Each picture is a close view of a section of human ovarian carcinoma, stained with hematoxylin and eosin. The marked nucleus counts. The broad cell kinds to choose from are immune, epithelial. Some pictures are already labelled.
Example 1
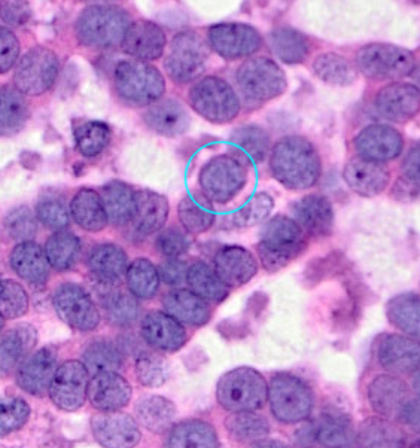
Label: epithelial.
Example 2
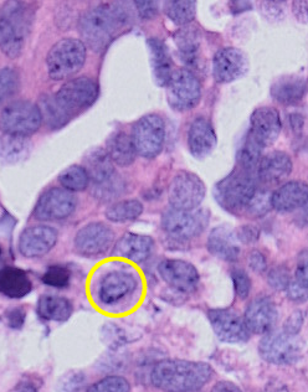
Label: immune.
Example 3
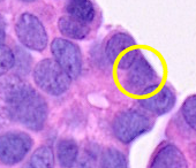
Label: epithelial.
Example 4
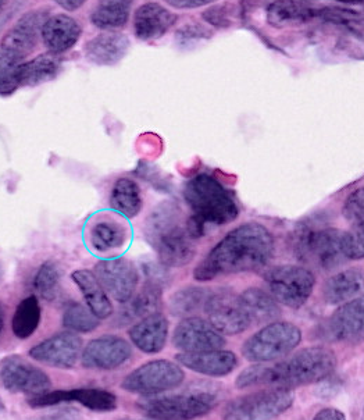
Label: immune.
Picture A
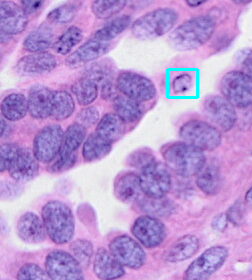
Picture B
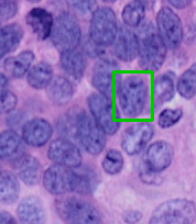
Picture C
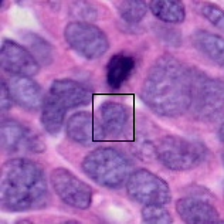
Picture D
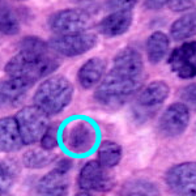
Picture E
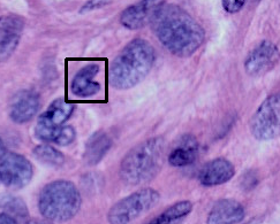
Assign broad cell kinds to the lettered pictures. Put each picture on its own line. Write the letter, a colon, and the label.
A: immune.
B: epithelial.
C: epithelial.
D: epithelial.
E: immune.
